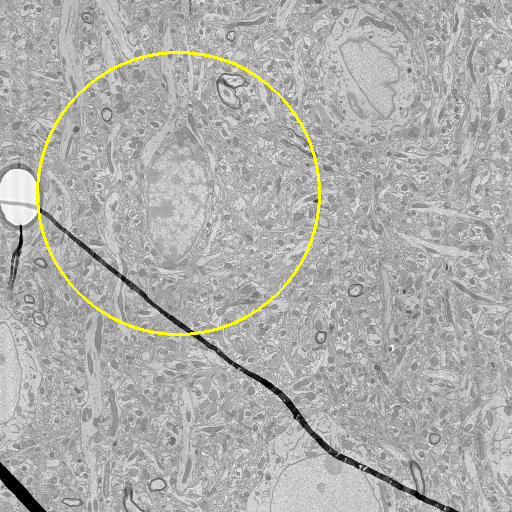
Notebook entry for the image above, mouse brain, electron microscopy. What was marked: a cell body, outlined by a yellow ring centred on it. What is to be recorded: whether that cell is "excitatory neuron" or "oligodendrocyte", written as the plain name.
oligodendrocyte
